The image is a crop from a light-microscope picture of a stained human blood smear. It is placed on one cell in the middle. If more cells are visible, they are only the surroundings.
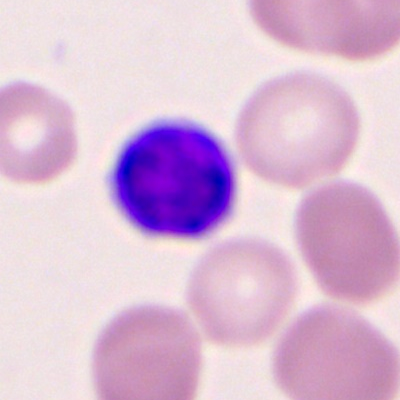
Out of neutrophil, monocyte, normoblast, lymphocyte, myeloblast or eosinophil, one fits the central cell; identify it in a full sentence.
This crop has a lymphocyte at its centre.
